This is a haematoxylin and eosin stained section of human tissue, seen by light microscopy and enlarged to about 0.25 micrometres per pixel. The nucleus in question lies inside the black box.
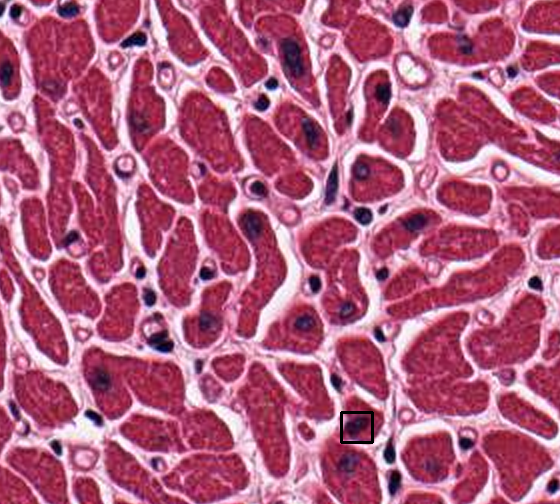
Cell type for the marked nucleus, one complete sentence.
What is marked is the nucleus of a cardiomyocyte.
